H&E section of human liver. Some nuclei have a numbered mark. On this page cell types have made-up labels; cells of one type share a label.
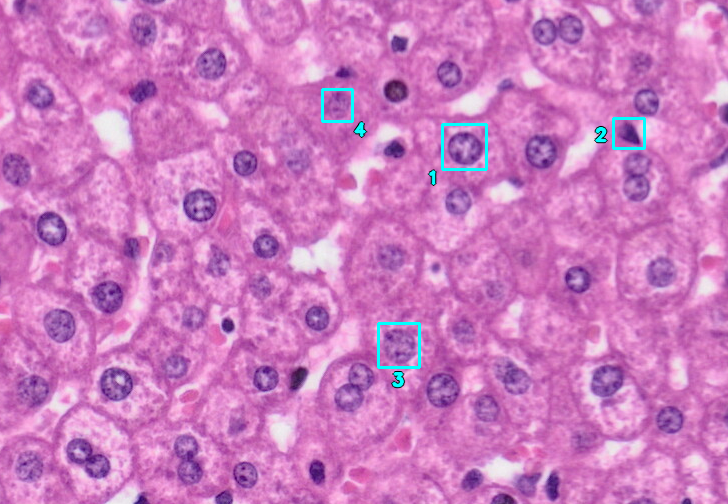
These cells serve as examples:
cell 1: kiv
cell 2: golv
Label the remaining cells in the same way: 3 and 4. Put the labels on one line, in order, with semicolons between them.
kiv; kiv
